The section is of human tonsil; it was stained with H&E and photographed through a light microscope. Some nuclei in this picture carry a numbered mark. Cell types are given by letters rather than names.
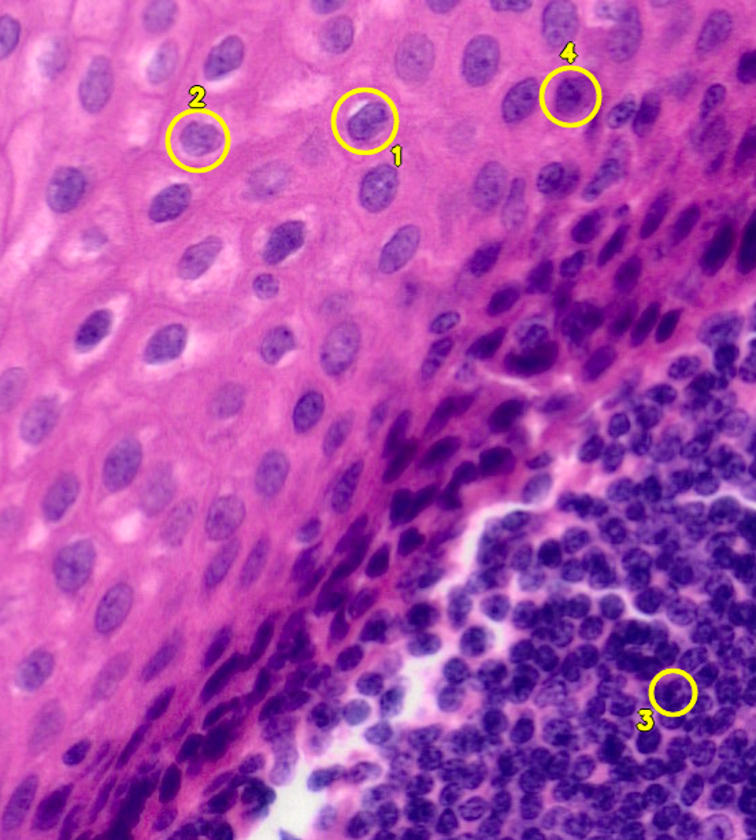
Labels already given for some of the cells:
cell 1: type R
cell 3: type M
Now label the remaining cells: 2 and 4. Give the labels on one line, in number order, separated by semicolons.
type R; type R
